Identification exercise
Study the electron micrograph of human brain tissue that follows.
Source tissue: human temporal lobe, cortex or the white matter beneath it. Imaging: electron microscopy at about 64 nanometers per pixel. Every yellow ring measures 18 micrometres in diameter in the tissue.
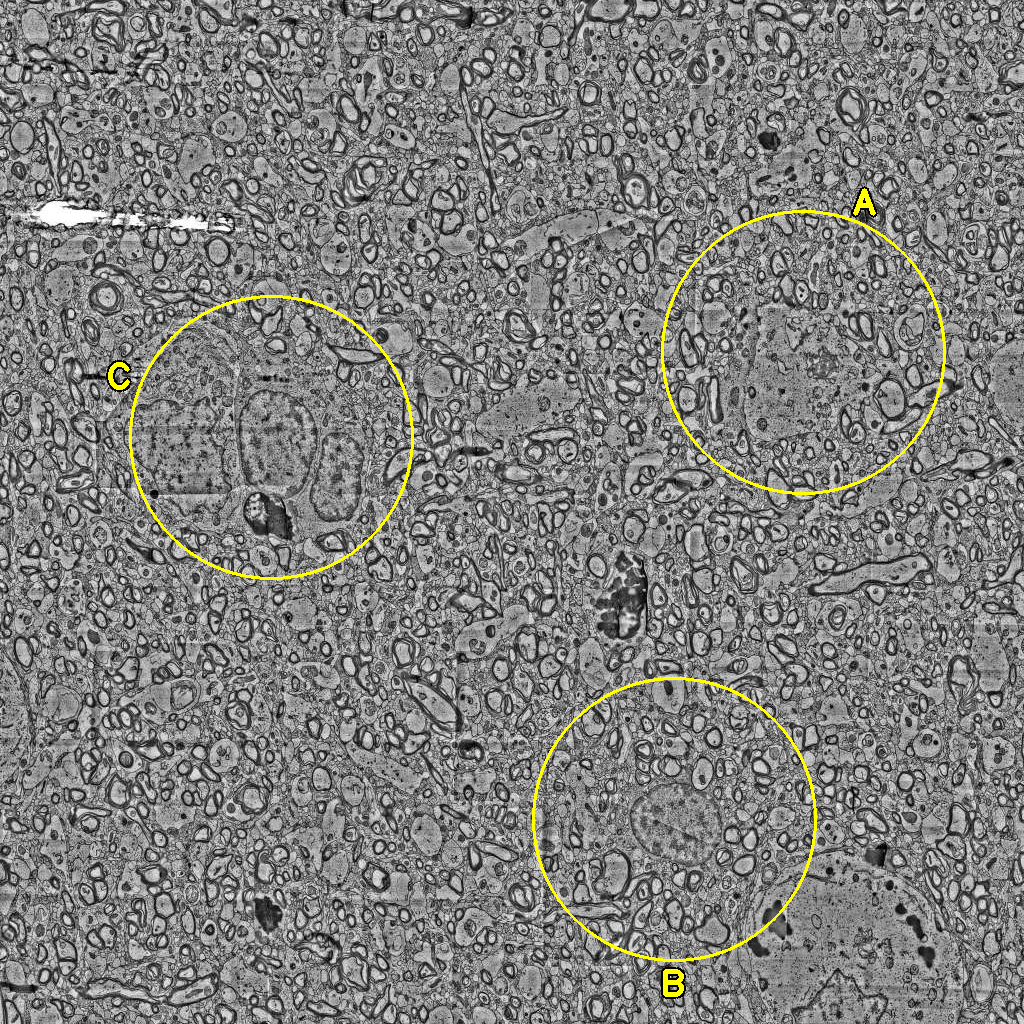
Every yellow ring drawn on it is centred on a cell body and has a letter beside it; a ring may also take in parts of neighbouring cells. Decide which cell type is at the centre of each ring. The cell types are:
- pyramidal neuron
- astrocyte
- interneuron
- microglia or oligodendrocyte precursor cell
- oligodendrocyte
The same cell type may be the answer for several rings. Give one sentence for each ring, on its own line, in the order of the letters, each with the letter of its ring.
Ring A encircles an interneuron.
Ring B encircles an oligodendrocyte.
Ring C encircles an oligodendrocyte.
